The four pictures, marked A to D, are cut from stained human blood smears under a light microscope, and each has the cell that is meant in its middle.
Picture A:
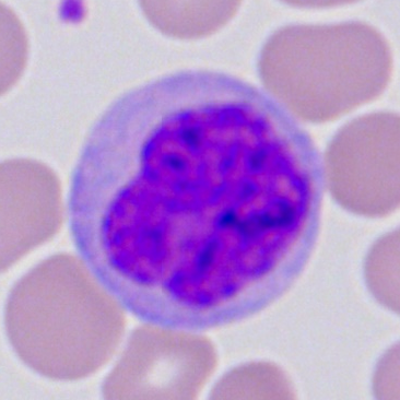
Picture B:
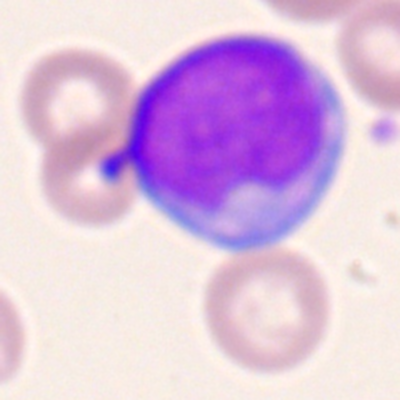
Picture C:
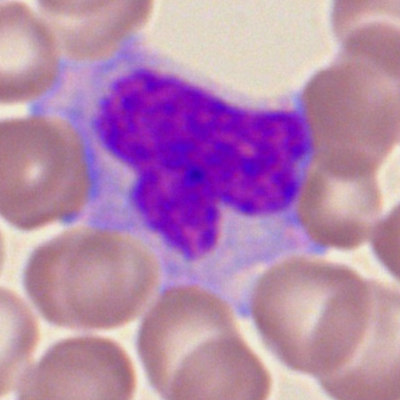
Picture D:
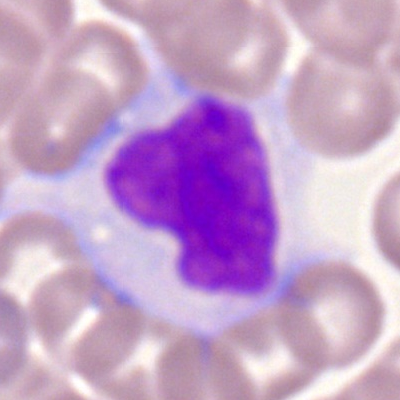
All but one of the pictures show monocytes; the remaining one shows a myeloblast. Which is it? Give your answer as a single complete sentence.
The myeloblast is the one in picture B.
